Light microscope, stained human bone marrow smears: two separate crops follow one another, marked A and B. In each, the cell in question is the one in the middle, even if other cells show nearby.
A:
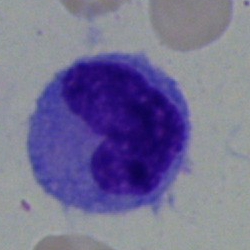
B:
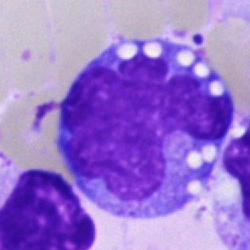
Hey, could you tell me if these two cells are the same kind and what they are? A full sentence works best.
Yes, in the middle of both crops, monocytes are shown.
